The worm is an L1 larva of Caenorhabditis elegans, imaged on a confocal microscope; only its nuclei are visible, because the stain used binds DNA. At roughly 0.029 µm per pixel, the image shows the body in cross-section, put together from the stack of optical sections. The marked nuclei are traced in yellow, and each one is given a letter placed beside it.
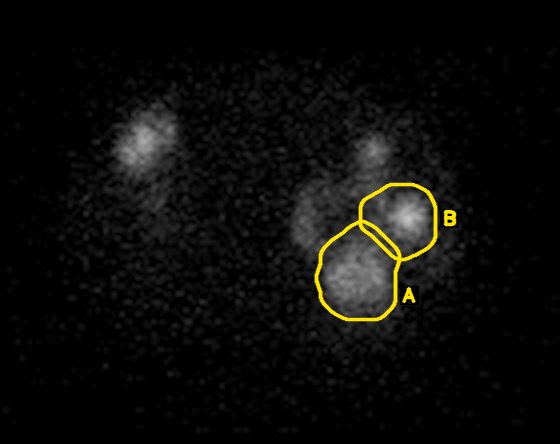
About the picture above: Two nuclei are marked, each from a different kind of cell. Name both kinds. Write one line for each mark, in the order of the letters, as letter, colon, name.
A: body wall muscle cell
B: neuron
